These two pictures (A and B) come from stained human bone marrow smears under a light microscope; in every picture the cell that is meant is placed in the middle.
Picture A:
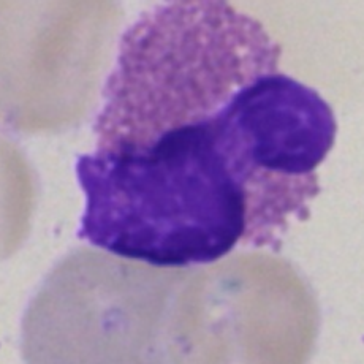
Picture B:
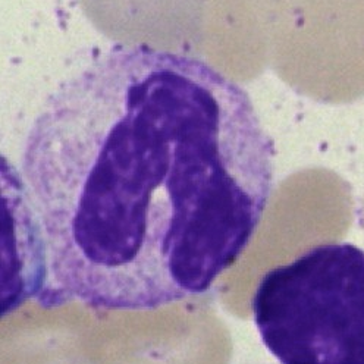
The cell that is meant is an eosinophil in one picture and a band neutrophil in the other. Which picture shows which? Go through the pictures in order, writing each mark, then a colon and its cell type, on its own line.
A: eosinophil
B: band neutrophil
